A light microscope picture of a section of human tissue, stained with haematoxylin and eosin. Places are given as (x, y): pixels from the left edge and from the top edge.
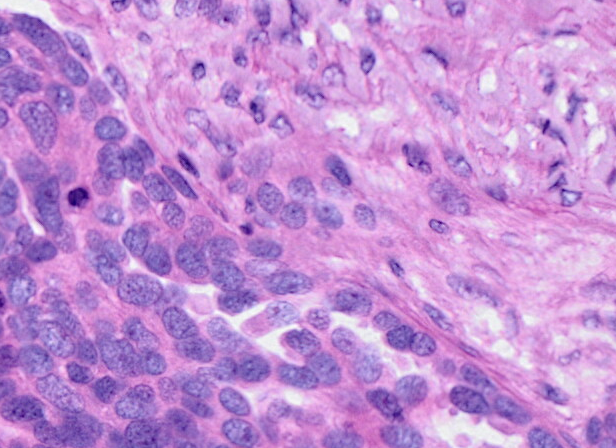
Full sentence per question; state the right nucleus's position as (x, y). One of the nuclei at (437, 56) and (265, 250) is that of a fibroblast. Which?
Of the two nuclei, the one sitting at (437, 56) belongs to a fibroblast.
